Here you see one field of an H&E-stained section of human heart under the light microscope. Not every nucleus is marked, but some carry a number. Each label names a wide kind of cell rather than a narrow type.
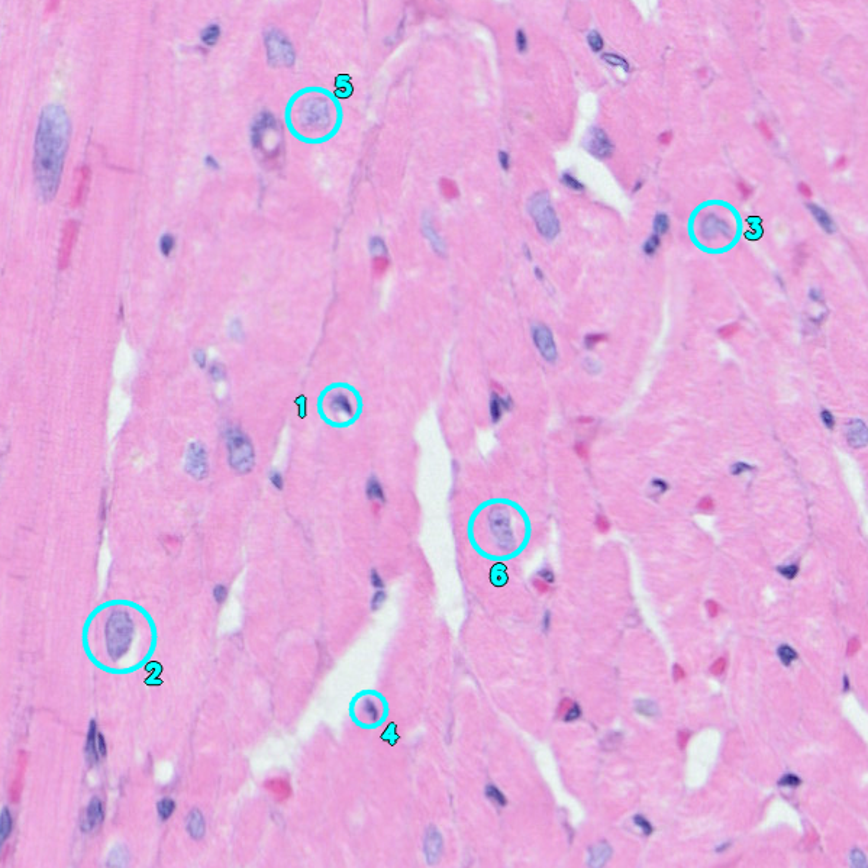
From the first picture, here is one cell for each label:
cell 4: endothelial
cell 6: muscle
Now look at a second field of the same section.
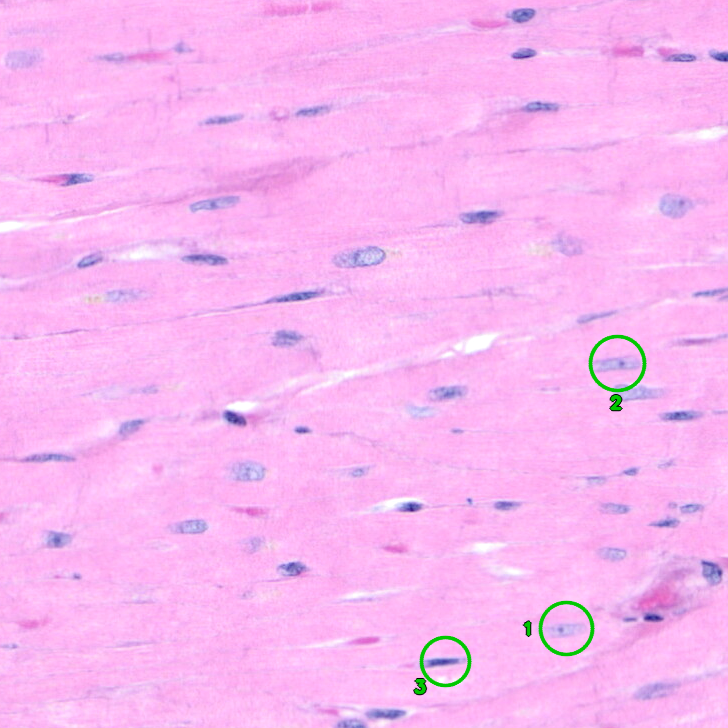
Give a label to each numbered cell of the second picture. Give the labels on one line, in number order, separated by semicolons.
muscle; muscle; endothelial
